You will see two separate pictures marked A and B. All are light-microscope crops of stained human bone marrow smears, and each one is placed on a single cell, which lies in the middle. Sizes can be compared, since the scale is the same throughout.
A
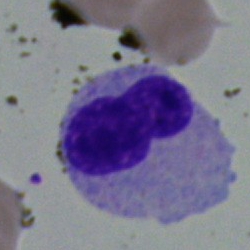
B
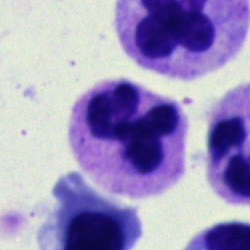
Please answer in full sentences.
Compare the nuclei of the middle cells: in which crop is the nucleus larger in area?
It is the nucleus in picture A, about 2 times as large in area as the one in picture B.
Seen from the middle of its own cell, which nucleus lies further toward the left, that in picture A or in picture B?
It is the nucleus in picture A that lies further toward the left of its cell.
